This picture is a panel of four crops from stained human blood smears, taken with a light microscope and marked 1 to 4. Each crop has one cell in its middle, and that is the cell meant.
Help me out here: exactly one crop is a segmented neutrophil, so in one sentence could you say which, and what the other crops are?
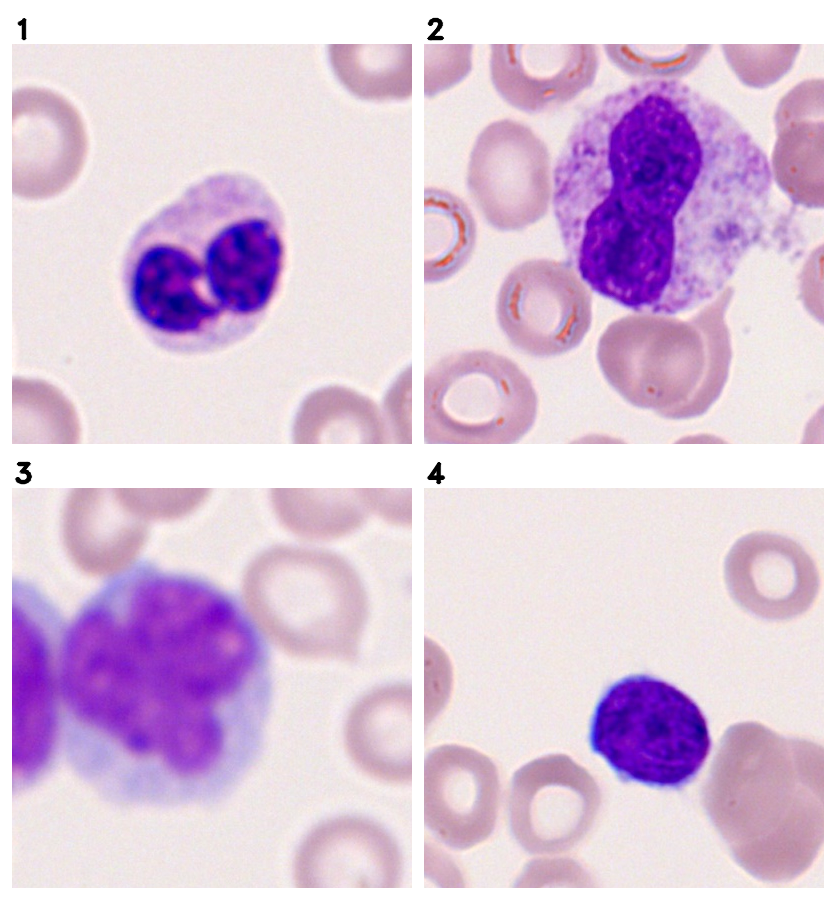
Crop 1 is identified as a segmented neutrophil, whereas crop 2 is a band neutrophil, crop 3 is a monocyte and crop 4 is a lymphocyte.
